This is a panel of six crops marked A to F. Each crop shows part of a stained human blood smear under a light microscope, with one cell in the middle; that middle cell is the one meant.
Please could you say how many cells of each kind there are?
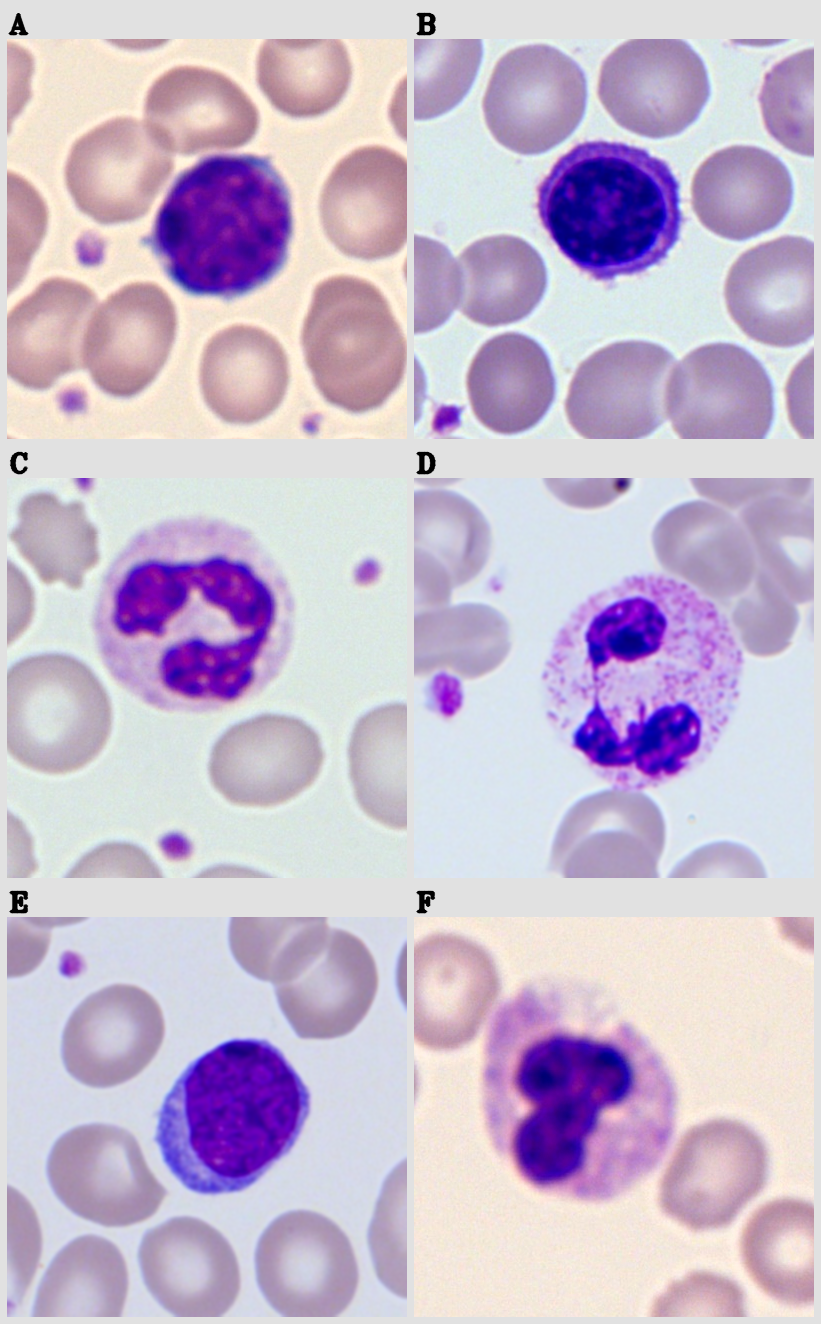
lymphocyte: 3
segmented neutrophil: 3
